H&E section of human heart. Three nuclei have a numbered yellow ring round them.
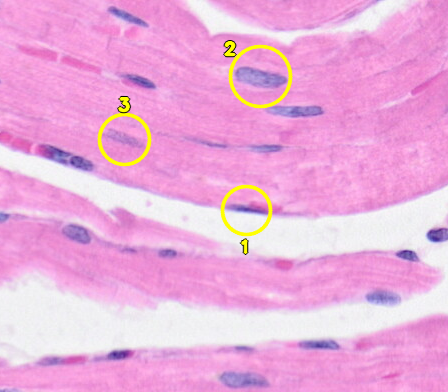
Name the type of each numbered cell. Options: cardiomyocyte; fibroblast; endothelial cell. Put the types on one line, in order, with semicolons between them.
endothelial cell; cardiomyocyte; cardiomyocyte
